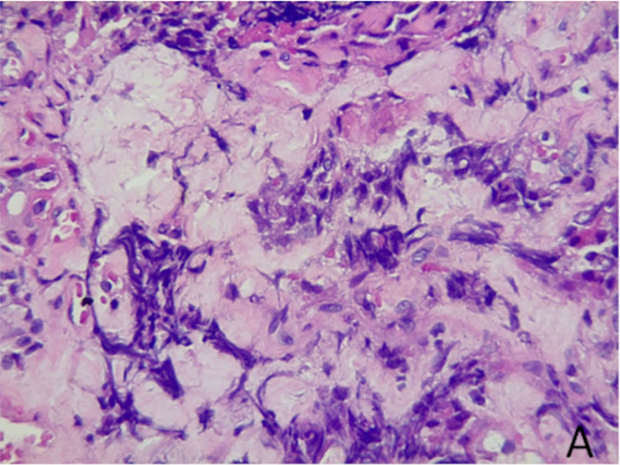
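Dark purple nuclei of tumour cells lie in thin cords, strands and small clusters set within broad lakes of pale, loose, faintly bluish-pink matrix. Some cells are elongated or angular with scant cytoplasm, and denser pink fibrous areas and small vessels lie at the edges. The pale, watery-looking background that separates the cells is a myxoid stroma.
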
